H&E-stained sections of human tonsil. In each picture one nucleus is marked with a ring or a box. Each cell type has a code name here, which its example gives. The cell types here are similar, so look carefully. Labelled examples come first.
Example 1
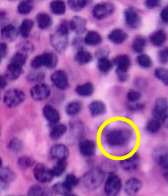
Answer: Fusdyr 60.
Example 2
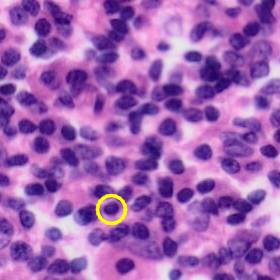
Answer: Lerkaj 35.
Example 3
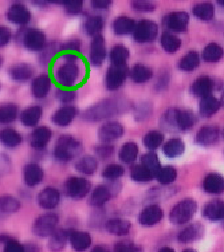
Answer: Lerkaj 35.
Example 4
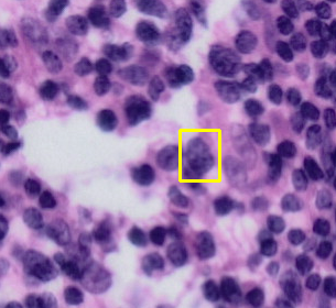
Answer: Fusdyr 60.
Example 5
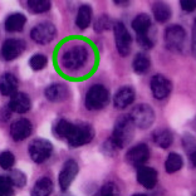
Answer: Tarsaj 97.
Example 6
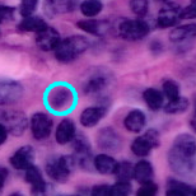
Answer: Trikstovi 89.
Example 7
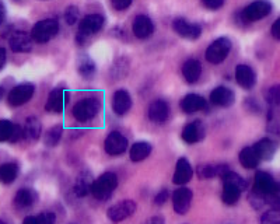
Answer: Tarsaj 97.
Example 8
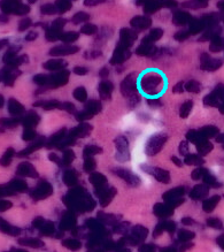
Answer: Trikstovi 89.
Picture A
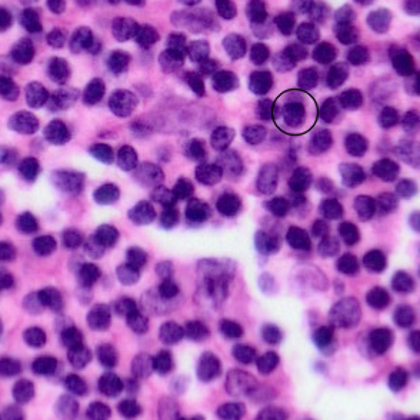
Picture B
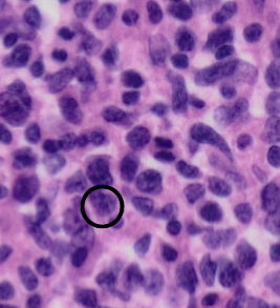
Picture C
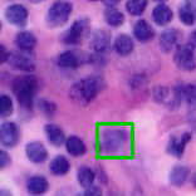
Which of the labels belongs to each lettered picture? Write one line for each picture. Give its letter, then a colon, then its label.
A: Lerkaj 35.
B: Fusdyr 60.
C: Trikstovi 89.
